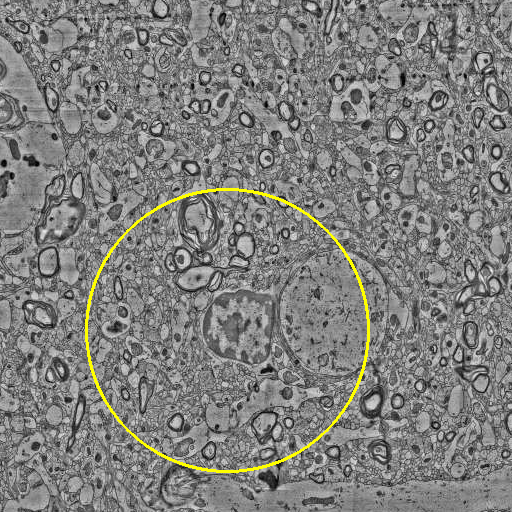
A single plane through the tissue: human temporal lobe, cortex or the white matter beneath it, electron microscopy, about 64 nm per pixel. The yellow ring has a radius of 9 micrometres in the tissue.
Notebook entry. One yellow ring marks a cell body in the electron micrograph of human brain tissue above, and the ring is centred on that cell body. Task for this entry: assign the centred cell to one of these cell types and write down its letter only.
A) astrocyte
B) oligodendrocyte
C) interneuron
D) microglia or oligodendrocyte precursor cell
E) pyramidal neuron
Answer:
D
